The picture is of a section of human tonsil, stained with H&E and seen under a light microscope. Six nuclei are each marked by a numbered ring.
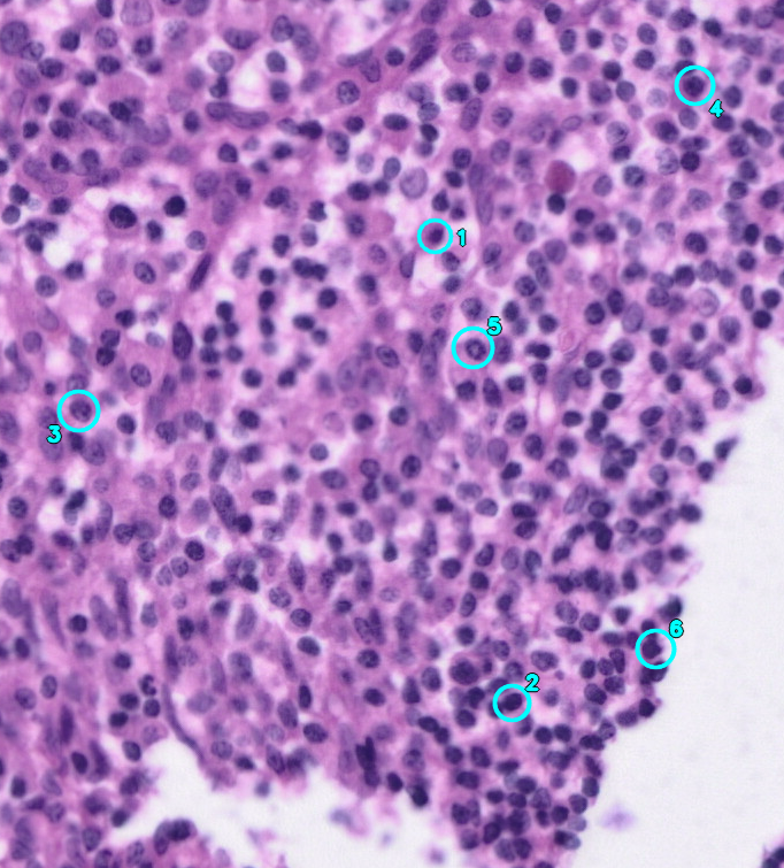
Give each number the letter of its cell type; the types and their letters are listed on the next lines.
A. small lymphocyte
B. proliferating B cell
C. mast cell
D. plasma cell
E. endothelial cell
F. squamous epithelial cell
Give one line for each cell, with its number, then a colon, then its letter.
1: D
2: A
3: D
4: D
5: D
6: A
